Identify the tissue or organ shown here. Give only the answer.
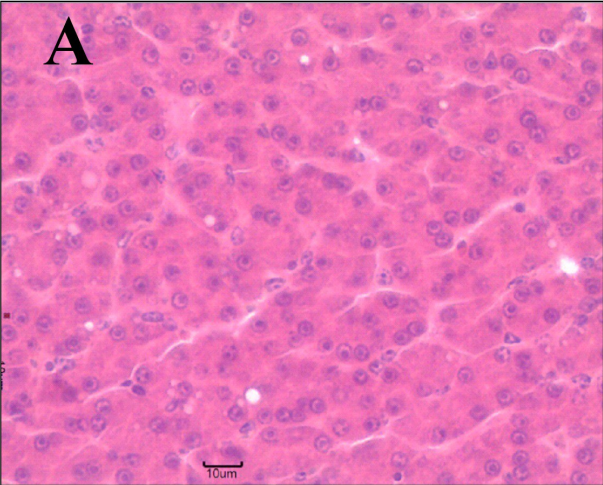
liver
